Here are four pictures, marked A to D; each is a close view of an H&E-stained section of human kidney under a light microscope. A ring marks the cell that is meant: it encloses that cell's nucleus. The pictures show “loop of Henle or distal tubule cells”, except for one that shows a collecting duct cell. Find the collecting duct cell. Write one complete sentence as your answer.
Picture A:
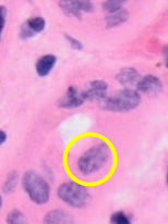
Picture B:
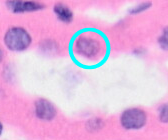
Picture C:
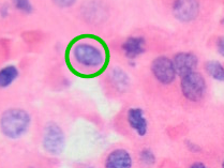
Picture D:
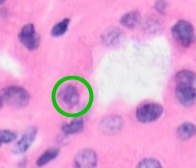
The picture with the collecting duct cell is A.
